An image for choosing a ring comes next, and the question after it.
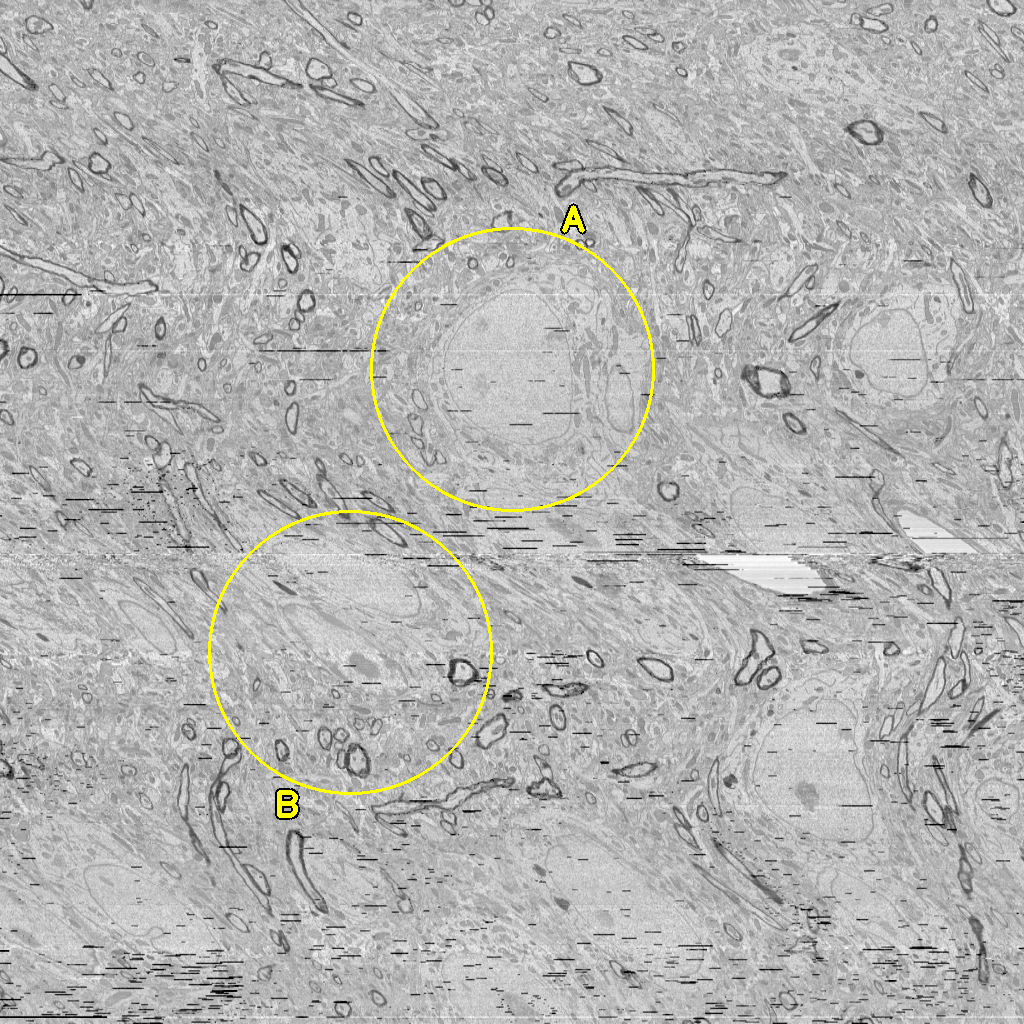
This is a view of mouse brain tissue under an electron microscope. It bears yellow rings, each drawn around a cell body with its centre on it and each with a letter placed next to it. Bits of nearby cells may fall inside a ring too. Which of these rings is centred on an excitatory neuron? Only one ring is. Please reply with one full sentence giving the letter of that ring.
Of all the lettered rings, A is the one centred on a cell of that kind.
